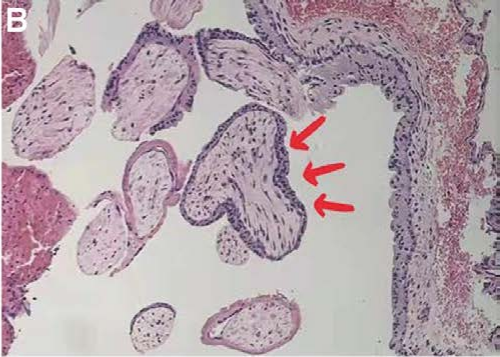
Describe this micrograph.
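Chorionic villi lie free in clear space beside hemorrhage. Some smaller villi have only a thin pink edge. Along the right side a long band of purple cellular tissue curves down beside red blood. Sheets of red blood cells lie at the left and right edges.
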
